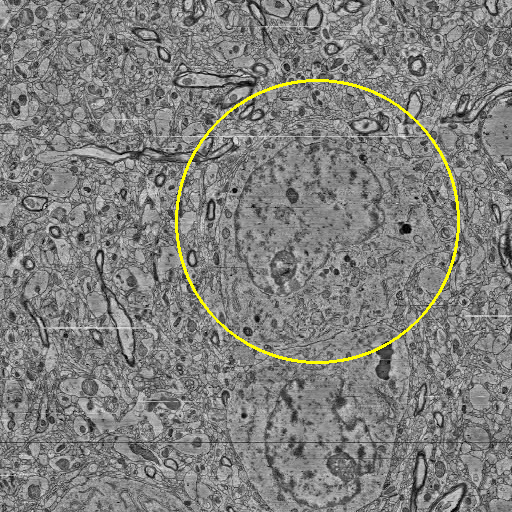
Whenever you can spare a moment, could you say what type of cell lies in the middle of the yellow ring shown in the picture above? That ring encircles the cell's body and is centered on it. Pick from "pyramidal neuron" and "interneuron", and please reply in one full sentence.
The cell whose body sits at the middle of the yellow ring is an interneuron.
